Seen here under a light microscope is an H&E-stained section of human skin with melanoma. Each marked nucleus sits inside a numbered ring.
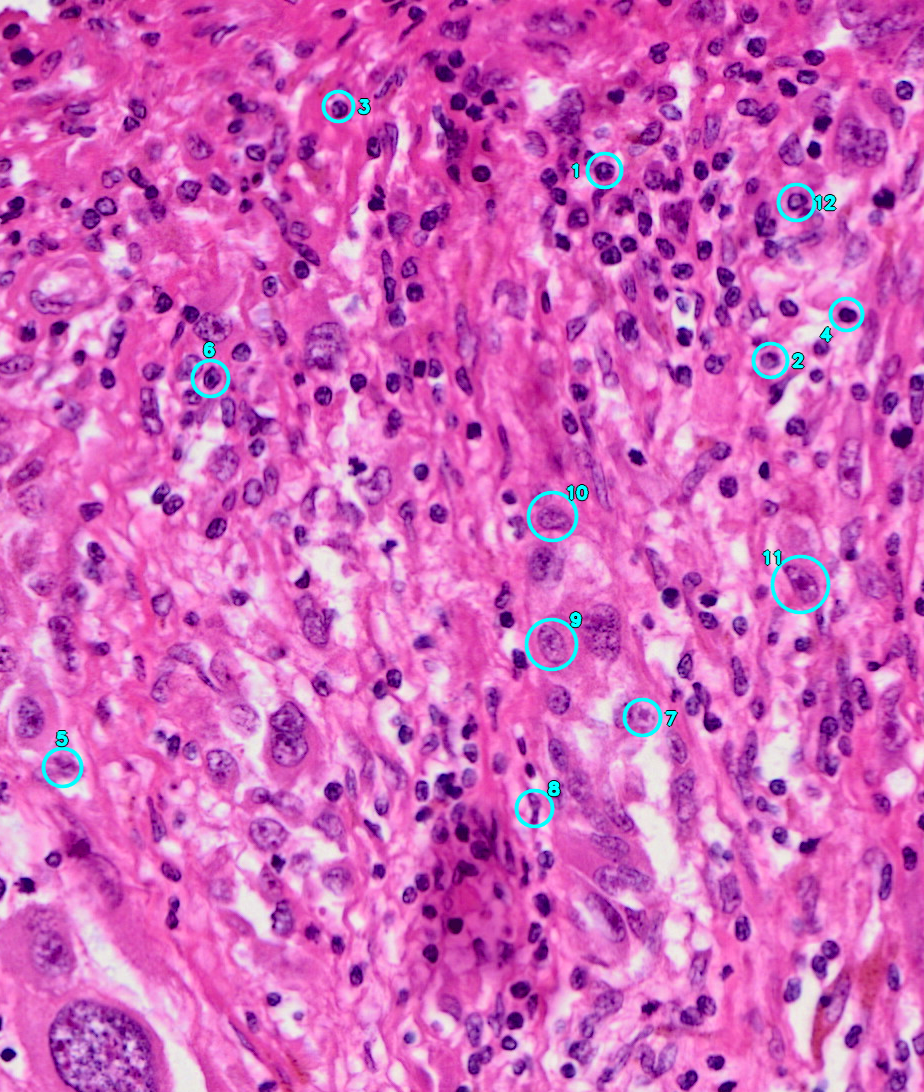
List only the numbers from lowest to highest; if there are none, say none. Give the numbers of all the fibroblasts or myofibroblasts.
8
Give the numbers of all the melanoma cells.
5, 7, 9, 10, 11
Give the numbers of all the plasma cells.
12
